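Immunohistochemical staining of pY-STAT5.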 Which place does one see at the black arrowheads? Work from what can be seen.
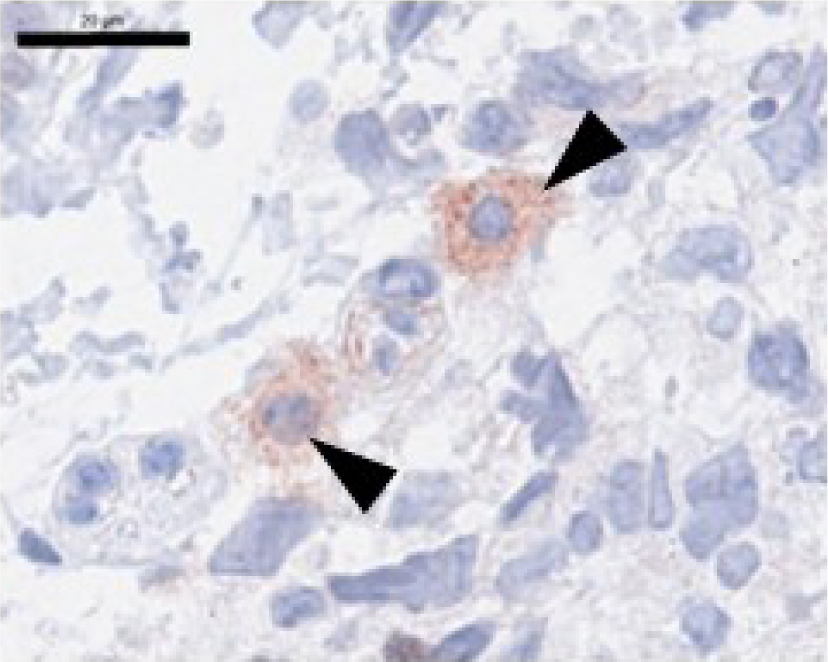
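The marked cells have a brown-stained rim around the nucleus. The nuclei of the marked cells stay blue.
Only cytoplasmic.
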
